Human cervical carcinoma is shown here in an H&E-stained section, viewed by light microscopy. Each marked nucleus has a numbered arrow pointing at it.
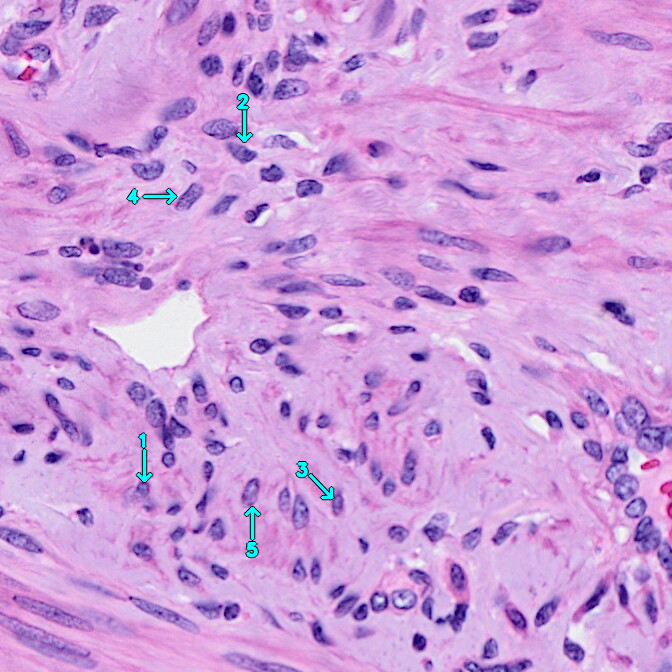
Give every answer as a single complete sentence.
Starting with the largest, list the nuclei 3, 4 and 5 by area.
Largest first, the order by area is 4, 5, 3.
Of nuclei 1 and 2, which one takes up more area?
The larger nucleus is 2, at roughly 2.5 times the area of 1.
